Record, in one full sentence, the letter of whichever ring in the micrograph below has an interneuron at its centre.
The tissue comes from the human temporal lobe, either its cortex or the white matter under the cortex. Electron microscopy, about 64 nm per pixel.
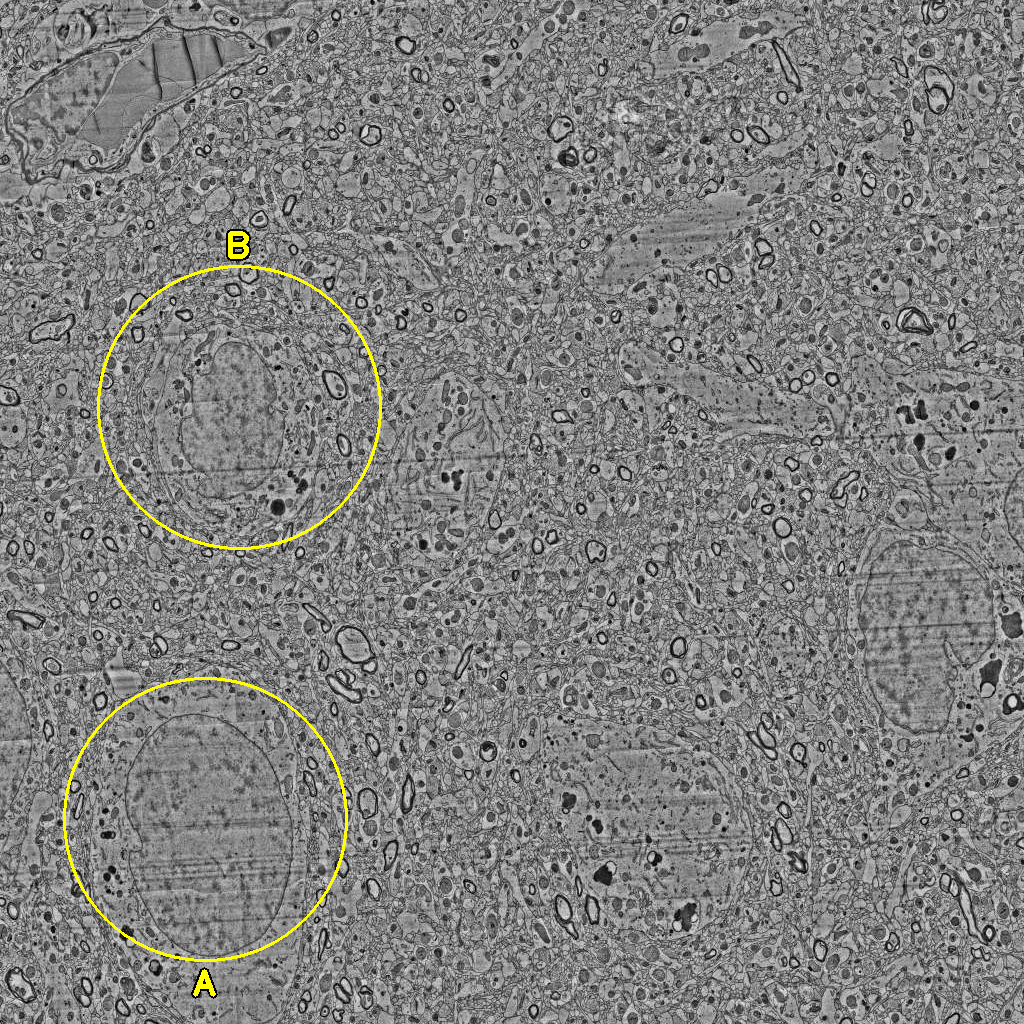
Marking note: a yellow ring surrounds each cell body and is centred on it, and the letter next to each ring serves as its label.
For the cell asked for, the ring centred on it carries the letter B.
